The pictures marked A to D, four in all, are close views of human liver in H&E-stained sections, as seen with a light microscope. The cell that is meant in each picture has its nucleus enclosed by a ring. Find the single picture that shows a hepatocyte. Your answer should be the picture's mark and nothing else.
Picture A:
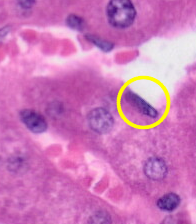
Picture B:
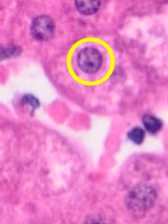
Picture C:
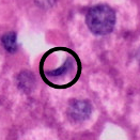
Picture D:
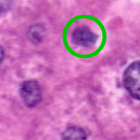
B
